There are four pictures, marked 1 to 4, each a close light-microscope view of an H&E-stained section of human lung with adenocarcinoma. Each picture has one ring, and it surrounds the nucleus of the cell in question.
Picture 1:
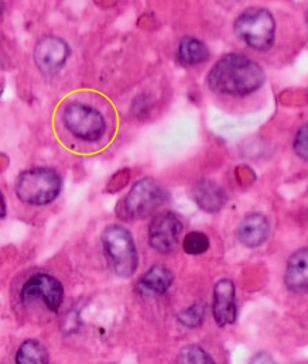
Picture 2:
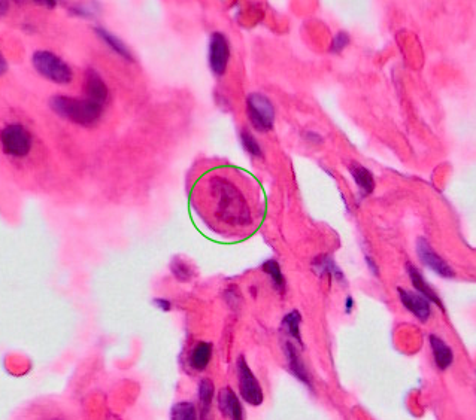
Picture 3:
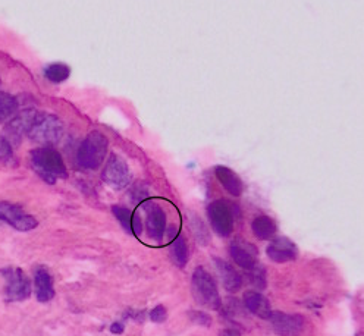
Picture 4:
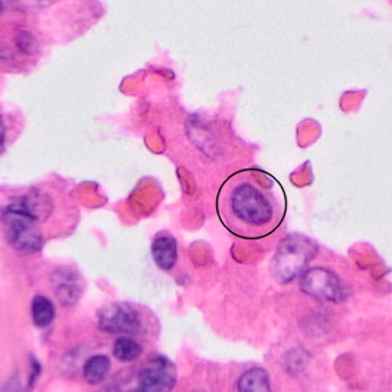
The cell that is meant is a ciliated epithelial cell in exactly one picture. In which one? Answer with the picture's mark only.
3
